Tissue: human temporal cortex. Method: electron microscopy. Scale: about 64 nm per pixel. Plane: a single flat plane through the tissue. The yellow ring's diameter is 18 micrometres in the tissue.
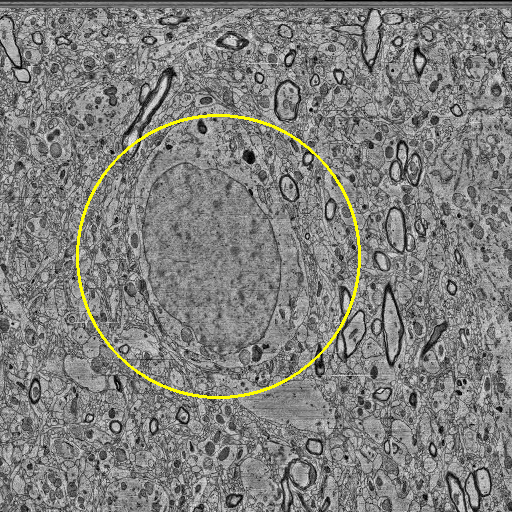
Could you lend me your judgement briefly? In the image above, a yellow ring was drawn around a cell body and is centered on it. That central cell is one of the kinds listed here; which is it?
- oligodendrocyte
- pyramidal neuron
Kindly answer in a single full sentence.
Going by the list, a pyramidal neuron is the kind at the ring's center in the picture.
